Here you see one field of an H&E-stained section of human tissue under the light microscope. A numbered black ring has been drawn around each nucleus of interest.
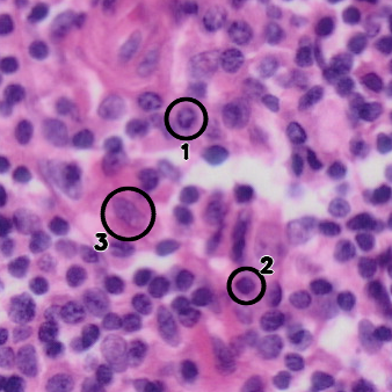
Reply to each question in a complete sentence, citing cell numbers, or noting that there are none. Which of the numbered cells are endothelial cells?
So, the cells with numbers 2 and 3 are endothelial cells.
